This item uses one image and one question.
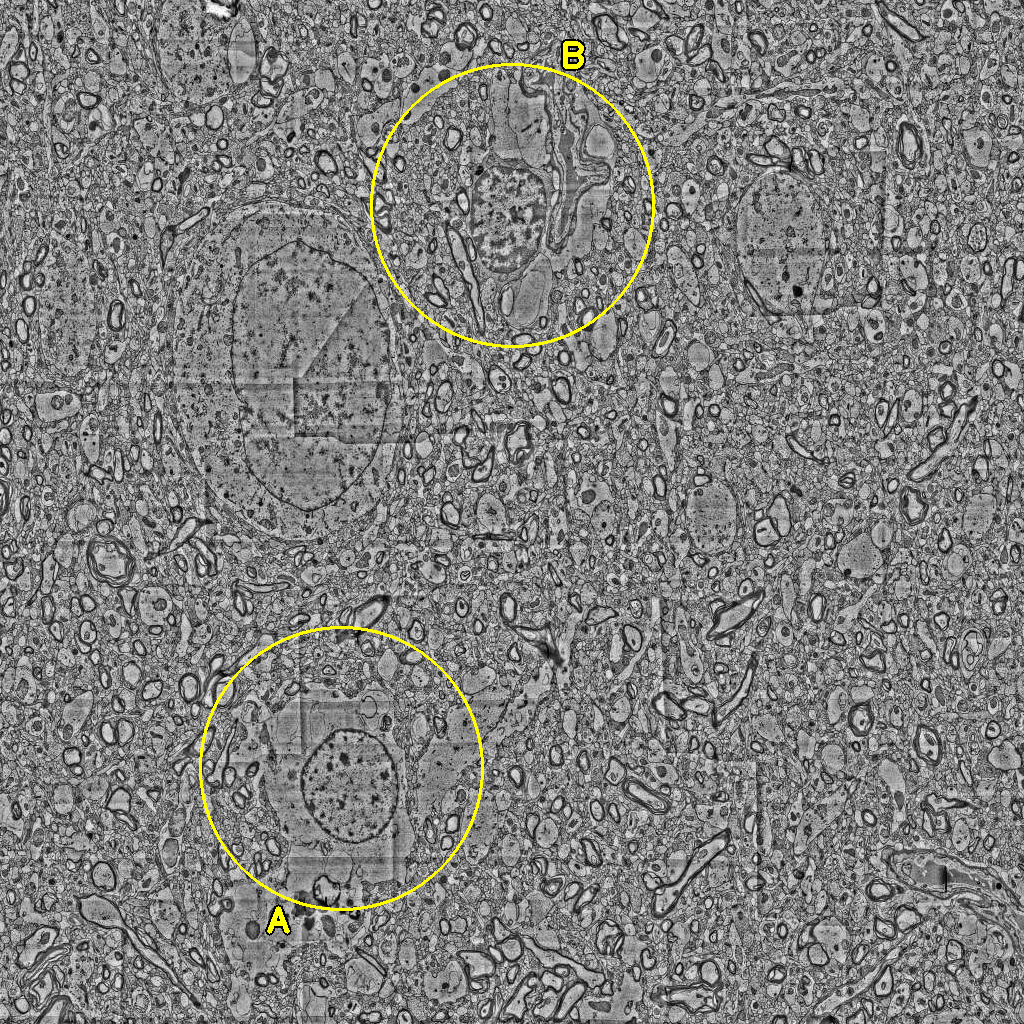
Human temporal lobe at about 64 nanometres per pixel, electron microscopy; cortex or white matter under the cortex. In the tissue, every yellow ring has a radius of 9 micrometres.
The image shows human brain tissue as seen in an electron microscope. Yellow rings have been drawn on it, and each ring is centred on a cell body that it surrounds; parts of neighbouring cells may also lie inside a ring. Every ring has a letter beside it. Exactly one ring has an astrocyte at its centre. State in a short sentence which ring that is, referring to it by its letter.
Ring A has that cell at its centre.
